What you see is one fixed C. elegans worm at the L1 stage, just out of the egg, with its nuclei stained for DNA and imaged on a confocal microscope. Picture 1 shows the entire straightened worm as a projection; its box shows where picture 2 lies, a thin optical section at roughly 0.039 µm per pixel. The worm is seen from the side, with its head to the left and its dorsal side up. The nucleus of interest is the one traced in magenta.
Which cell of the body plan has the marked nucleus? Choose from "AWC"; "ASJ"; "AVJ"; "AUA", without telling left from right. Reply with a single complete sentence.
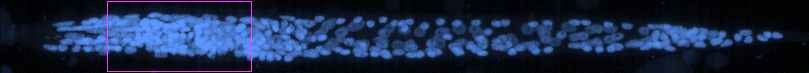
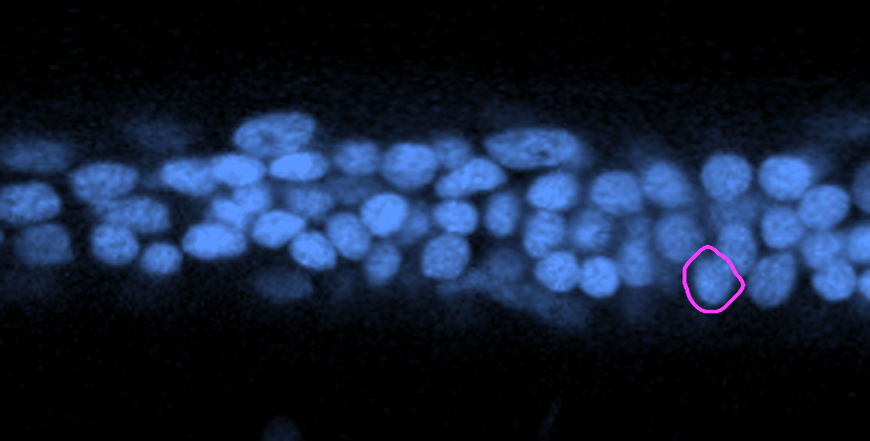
It is the nucleus of AUA, a neuron.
